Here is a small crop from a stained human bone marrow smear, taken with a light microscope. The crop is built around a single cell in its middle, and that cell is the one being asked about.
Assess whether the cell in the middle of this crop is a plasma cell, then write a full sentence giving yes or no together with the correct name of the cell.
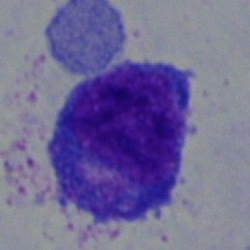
No, the central cell does not count as a plasma cell; it is a promyelocyte.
